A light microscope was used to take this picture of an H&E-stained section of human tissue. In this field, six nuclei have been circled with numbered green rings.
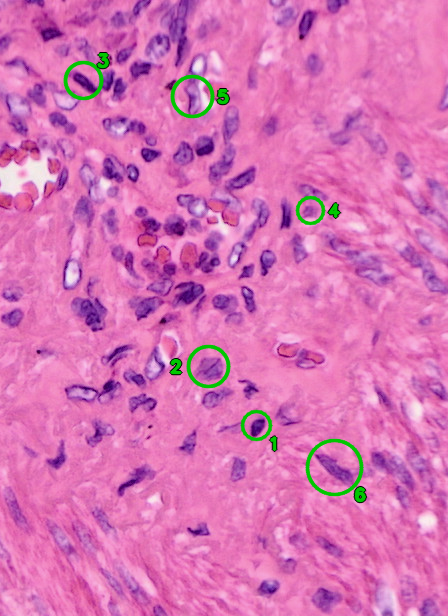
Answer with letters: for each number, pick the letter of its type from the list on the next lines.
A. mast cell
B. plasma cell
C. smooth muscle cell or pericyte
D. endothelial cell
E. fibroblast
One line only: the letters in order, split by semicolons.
A; E; B; C; D; C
